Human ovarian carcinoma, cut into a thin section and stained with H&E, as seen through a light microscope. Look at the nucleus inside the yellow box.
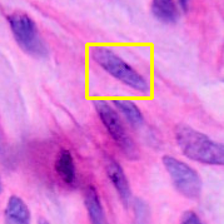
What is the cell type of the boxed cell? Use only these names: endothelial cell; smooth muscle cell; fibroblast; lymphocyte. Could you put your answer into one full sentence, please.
Within the stained tissue, the boxed cell is a smooth muscle cell.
